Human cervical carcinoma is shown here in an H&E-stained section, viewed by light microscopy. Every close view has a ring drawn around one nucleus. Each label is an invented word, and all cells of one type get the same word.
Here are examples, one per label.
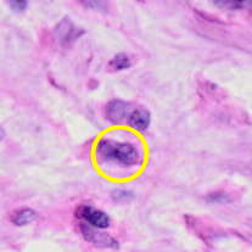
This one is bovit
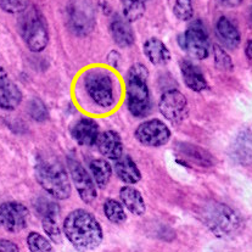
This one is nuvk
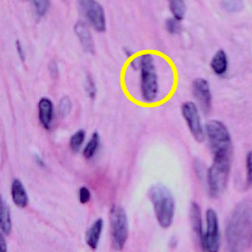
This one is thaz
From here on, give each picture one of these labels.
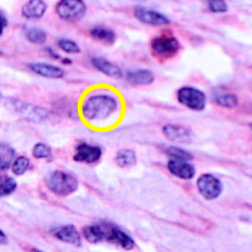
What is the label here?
bovit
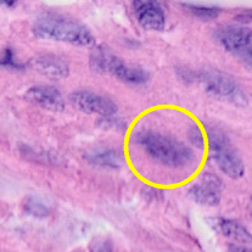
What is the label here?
nuvk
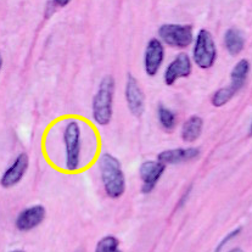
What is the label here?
thaz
